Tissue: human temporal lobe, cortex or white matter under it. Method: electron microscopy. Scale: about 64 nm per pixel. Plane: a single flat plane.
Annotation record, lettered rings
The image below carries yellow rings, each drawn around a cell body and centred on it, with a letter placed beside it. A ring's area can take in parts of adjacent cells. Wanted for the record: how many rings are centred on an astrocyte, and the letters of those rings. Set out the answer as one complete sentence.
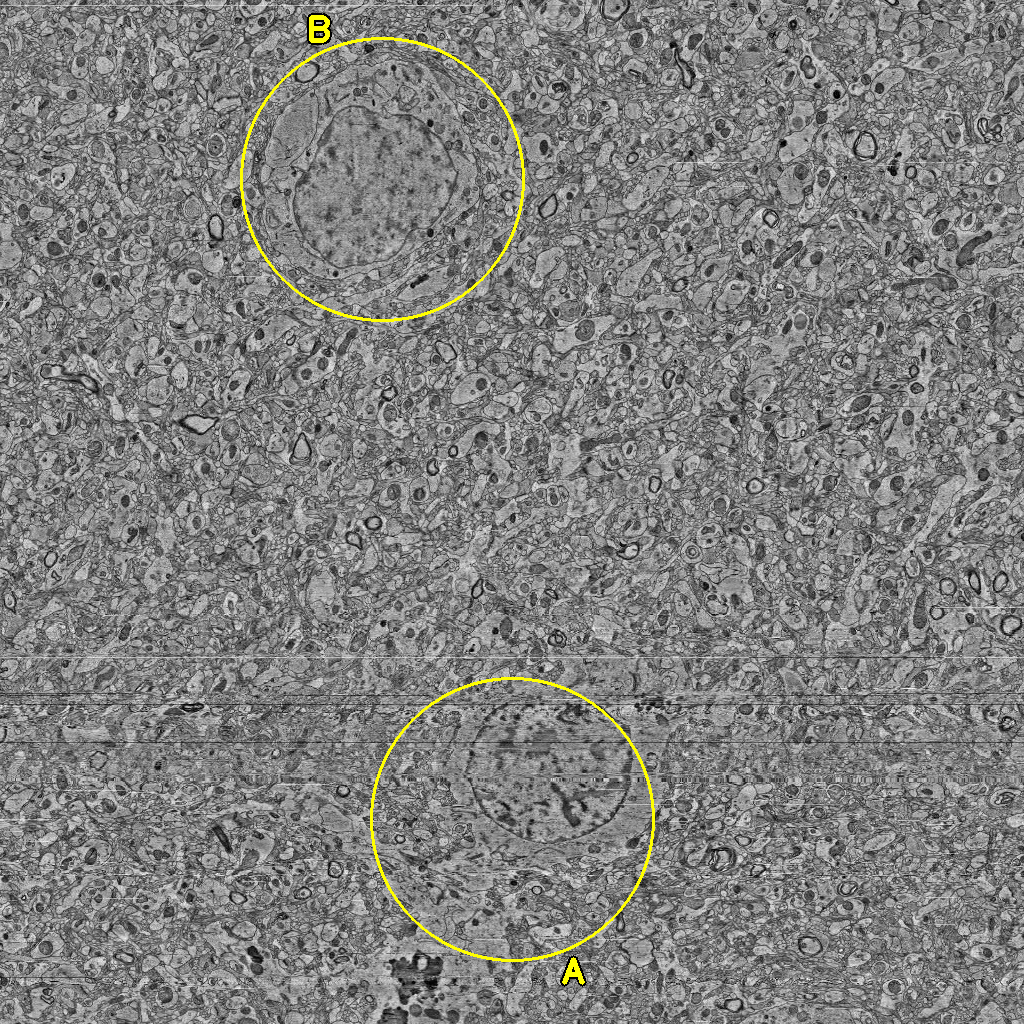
The ring lettered A is the single one among them centred on an astrocyte.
